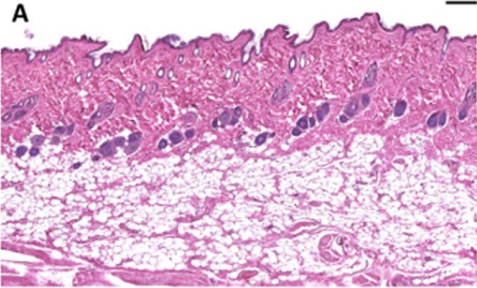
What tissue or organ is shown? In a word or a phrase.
Skin.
